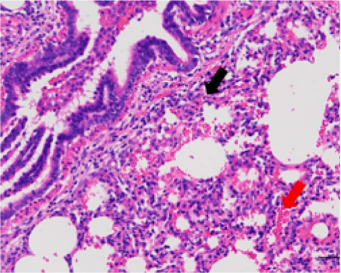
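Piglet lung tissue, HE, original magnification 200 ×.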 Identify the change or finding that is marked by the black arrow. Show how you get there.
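Inflammatory cell infiltration. Alveolar walls are thickened and crowded with dark-nucleated cells. Many alveolar spaces are narrowed or filled.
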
